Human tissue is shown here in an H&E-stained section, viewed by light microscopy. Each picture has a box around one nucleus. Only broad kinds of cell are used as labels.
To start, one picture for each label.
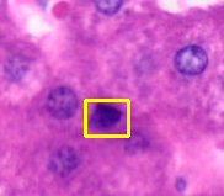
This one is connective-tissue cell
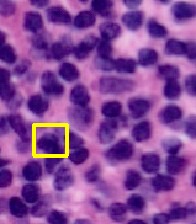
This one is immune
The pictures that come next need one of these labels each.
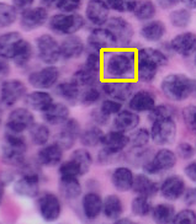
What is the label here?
immune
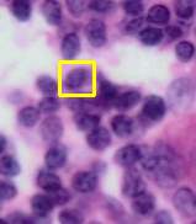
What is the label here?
immune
